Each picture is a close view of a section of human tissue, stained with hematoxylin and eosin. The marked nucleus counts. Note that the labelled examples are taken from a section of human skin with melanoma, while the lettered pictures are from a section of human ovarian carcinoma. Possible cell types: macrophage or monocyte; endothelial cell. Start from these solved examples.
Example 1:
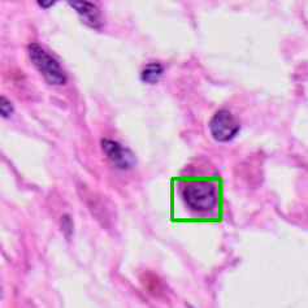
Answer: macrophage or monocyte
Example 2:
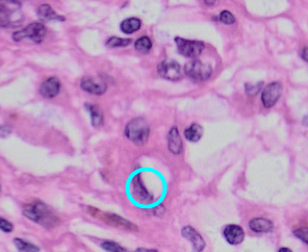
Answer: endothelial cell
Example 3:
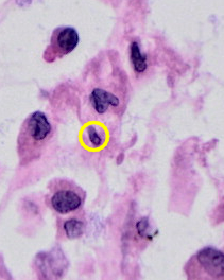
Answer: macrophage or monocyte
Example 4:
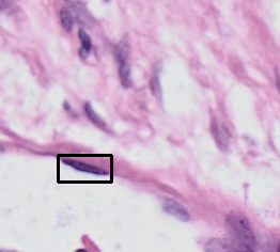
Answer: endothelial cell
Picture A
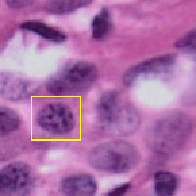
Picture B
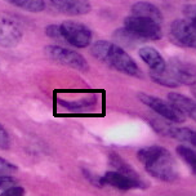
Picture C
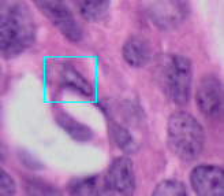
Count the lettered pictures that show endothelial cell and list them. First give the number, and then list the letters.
2: B, C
